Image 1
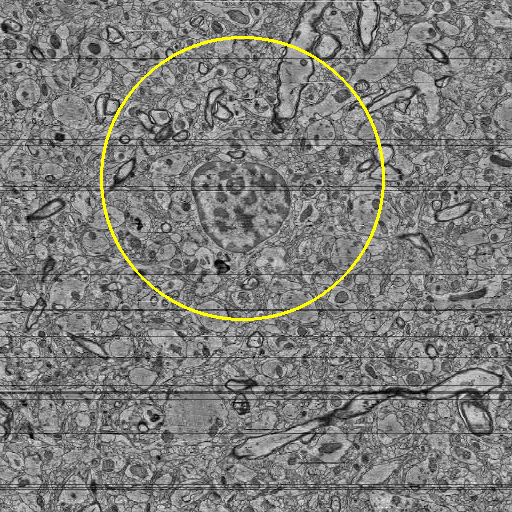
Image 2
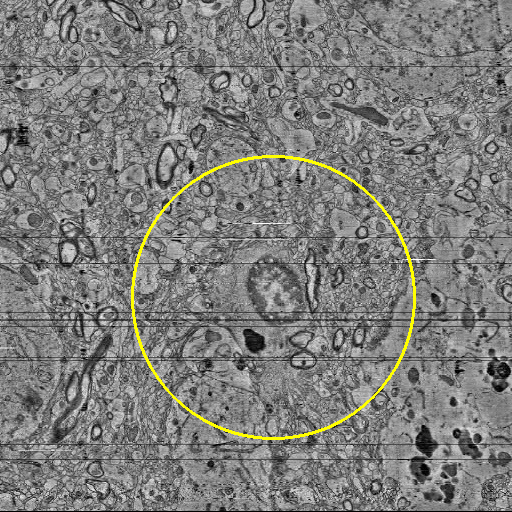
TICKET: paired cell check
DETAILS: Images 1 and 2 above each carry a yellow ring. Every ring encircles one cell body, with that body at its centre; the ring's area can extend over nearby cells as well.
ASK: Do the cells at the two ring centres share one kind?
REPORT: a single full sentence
No, the ring-centre cells of Images 1 and 2 belong to two kinds.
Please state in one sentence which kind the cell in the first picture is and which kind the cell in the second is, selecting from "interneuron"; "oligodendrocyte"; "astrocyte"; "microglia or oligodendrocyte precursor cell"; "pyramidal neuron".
The first ringed cell is a microglial cell or oligodendrocyte precursor cell, the second ringed cell an oligodendrocyte.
